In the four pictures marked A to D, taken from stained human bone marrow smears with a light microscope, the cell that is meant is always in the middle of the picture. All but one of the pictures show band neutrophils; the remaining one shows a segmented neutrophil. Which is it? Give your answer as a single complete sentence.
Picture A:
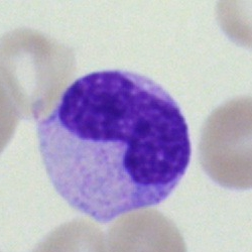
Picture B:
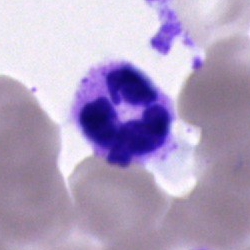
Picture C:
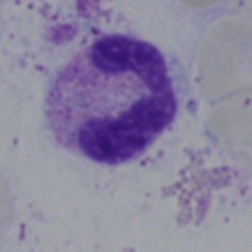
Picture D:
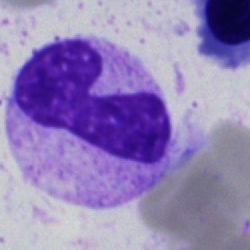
It is picture B that shows the segmented neutrophil.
